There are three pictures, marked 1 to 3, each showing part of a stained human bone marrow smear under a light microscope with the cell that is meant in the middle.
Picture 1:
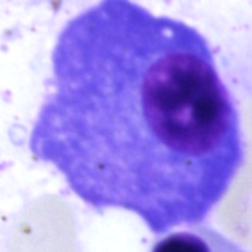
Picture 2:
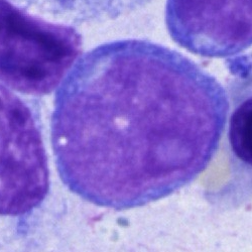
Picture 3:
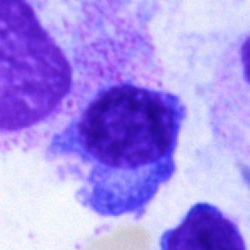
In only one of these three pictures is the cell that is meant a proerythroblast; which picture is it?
2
